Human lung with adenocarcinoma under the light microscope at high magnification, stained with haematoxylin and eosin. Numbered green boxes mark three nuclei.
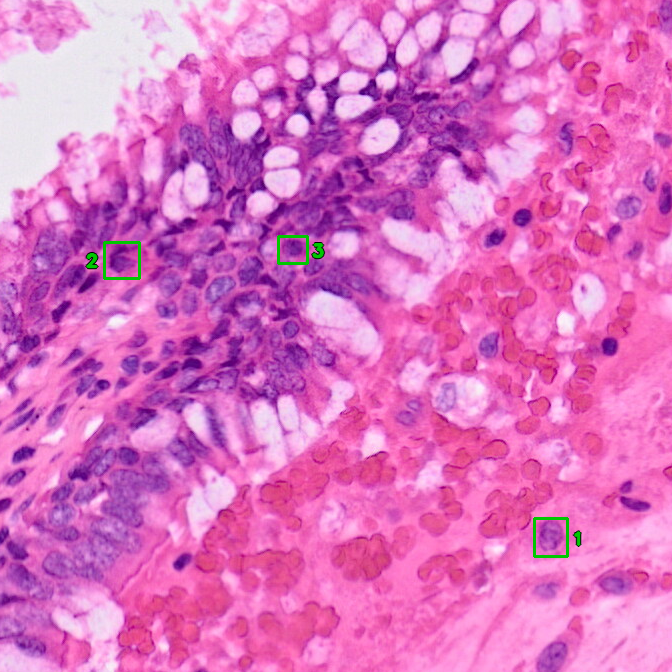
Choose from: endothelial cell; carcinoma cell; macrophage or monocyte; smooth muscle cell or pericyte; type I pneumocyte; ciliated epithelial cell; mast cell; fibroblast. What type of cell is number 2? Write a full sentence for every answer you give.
Recognised here as a ciliated epithelial cell is the cell numbered 2.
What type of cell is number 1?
The cell whose nucleus carries the number 1 is a macrophage or monocyte.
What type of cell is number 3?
Here, the cell given the number 3 is a ciliated epithelial cell.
